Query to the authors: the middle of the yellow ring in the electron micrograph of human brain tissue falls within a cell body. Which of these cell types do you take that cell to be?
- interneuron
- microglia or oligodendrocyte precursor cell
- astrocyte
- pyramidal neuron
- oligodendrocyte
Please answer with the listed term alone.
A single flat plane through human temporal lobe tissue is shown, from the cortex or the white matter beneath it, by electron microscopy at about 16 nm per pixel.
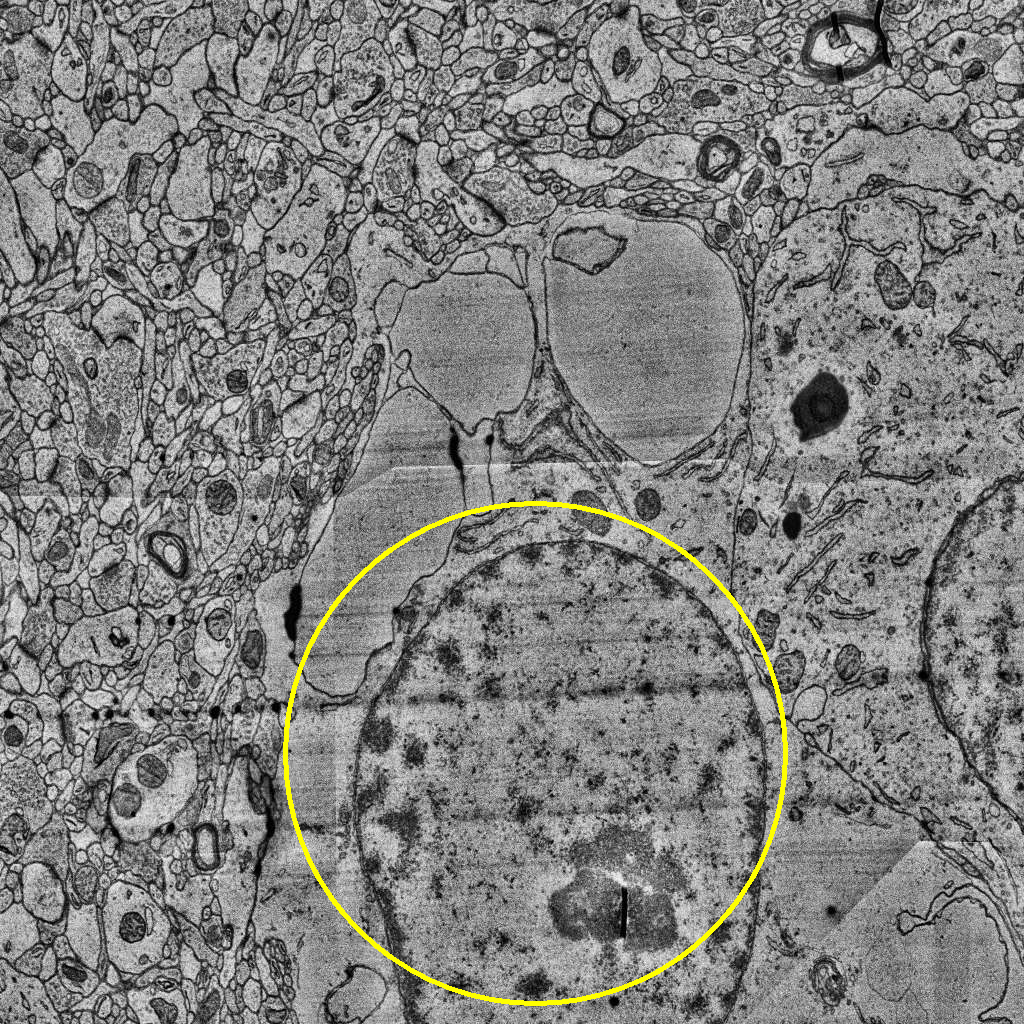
astrocyte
